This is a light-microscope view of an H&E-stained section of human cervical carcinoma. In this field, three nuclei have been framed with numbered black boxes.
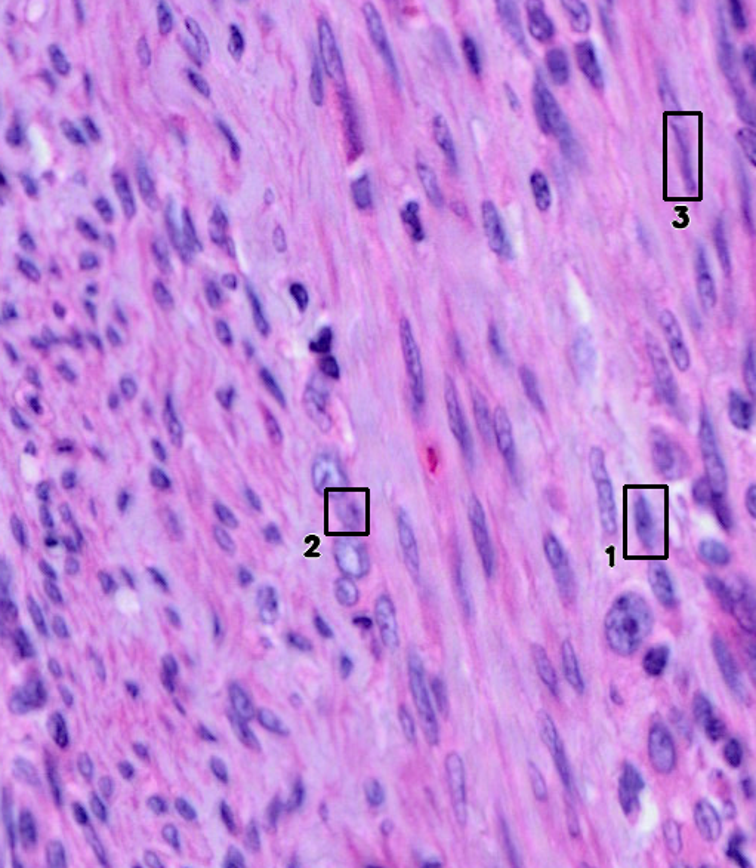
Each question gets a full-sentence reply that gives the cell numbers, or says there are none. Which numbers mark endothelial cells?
Of the marked cells, the one numbered 2 is an endothelial cell and the rest are not.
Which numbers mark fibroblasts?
There is only one numbered cell that is a fibroblast, and it is cell 1.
